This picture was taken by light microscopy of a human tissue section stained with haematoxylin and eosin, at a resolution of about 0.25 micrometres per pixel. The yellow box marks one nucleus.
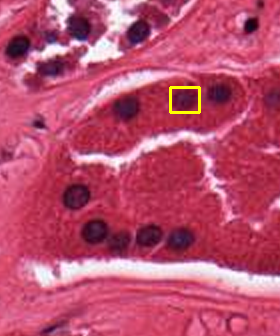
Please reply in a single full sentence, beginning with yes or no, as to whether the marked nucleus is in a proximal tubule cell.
Yes, the marked nucleus is the nucleus of a proximal tubule cell in this section.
